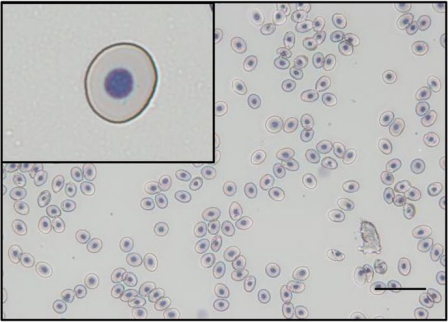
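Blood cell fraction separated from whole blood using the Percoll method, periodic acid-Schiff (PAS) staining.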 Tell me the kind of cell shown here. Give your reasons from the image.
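Each cell has one small central nucleus surrounded by pale cytoplasm. The answer: erythrocyte.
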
